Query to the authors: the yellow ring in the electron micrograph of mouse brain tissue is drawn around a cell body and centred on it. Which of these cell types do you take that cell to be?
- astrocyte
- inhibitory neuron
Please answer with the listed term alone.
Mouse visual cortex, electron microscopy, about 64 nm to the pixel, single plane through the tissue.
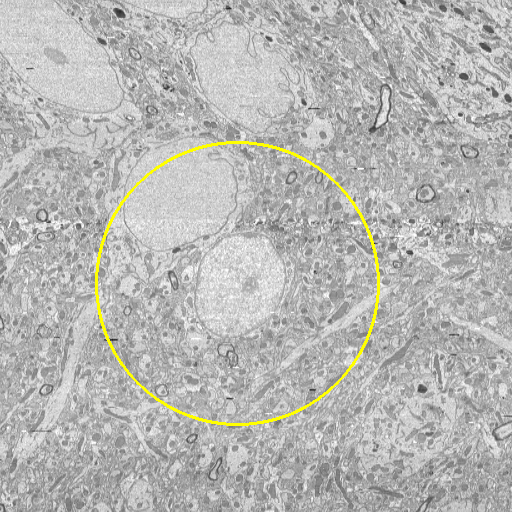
astrocyte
